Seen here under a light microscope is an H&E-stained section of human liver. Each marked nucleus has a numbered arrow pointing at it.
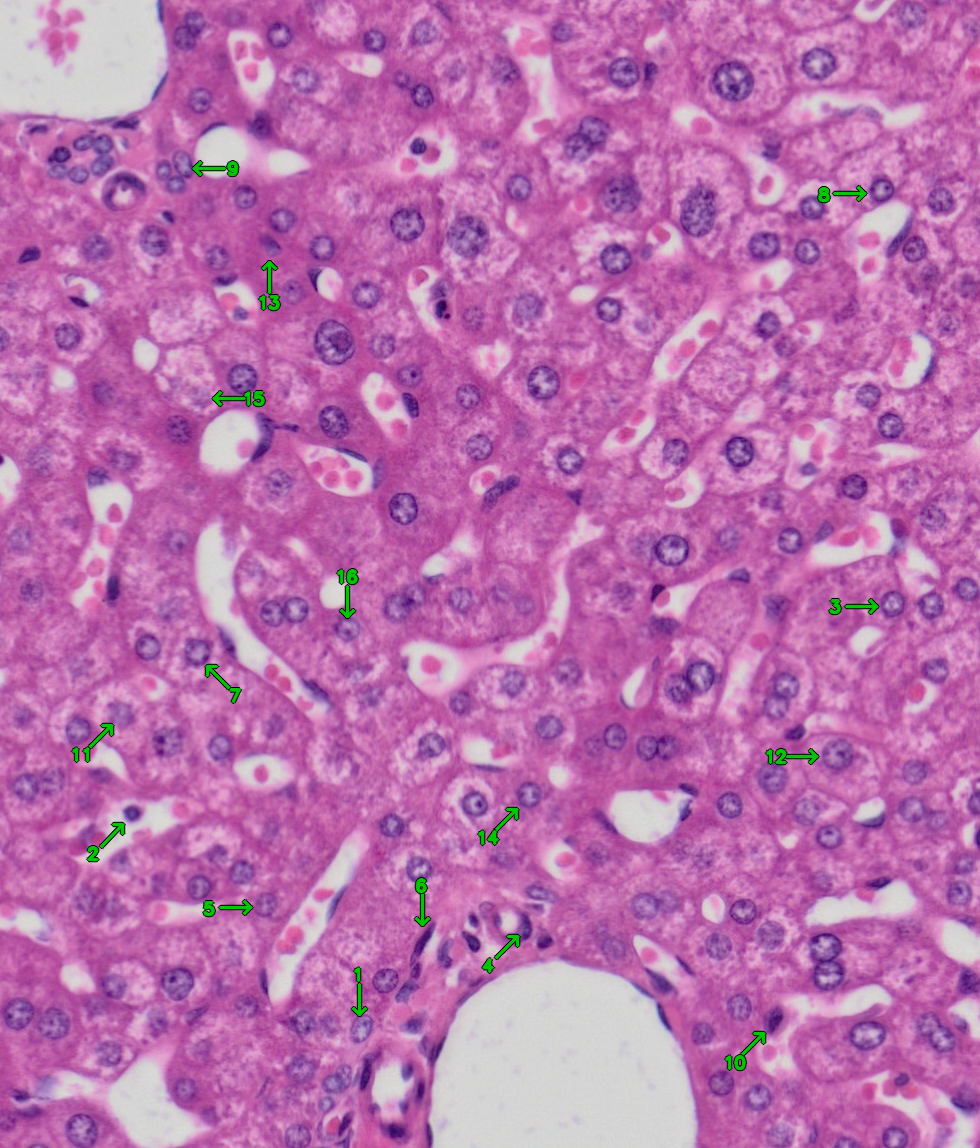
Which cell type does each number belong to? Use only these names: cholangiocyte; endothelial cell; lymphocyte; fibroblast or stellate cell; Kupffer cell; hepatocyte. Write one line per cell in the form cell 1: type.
cell 1: cholangiocyte
cell 2: lymphocyte
cell 3: hepatocyte
cell 4: fibroblast or stellate cell
cell 5: hepatocyte
cell 6: fibroblast or stellate cell
cell 7: hepatocyte
cell 8: hepatocyte
cell 9: cholangiocyte
cell 10: Kupffer cell
cell 11: hepatocyte
cell 12: hepatocyte
cell 13: fibroblast or stellate cell
cell 14: hepatocyte
cell 15: hepatocyte
cell 16: hepatocyte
